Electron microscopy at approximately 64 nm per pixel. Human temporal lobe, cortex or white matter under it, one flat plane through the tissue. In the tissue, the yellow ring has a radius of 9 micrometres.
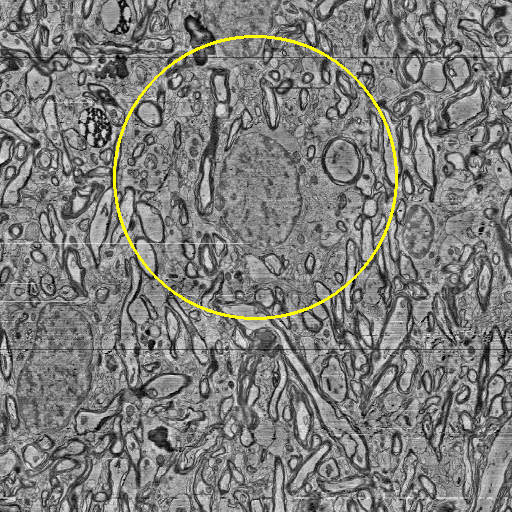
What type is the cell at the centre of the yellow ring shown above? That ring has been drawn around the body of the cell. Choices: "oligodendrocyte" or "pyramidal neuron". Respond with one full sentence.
My answer is that an oligodendrocyte lies at the centre of the yellow ring above.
